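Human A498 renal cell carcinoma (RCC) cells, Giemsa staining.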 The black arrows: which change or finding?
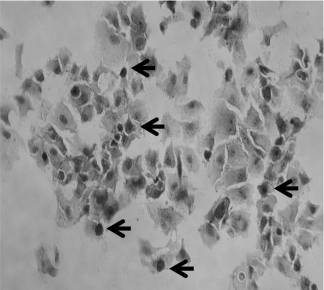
Chromatin-condensed cells.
